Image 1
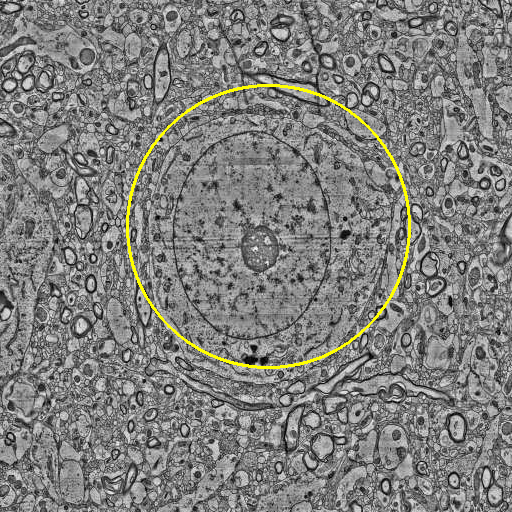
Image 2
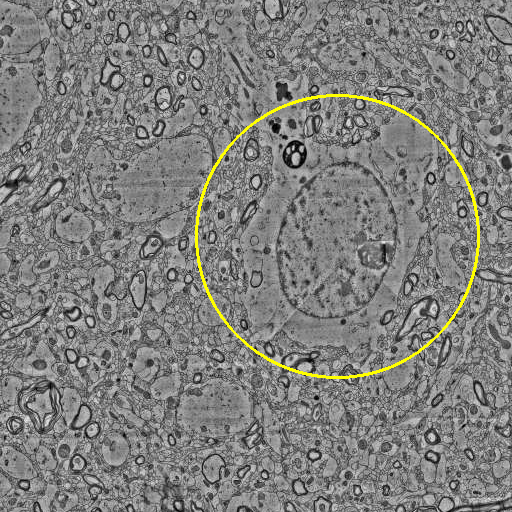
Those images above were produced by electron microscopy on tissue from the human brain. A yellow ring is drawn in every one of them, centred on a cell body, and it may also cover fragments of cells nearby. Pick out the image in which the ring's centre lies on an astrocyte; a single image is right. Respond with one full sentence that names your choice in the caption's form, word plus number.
Image 2 is my choice: its ring is centred on the requested cell.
